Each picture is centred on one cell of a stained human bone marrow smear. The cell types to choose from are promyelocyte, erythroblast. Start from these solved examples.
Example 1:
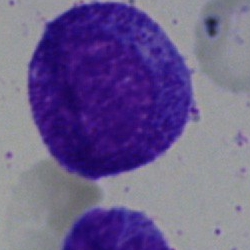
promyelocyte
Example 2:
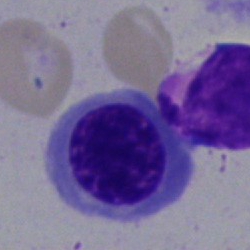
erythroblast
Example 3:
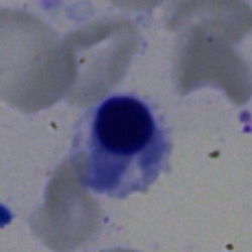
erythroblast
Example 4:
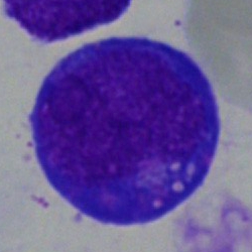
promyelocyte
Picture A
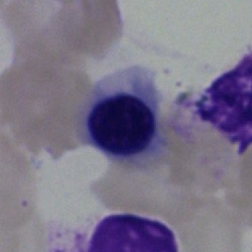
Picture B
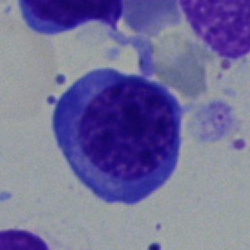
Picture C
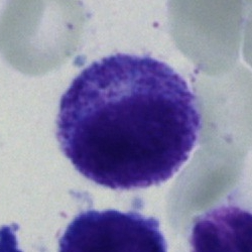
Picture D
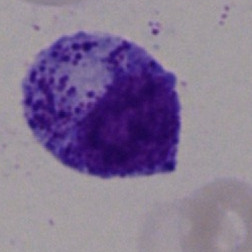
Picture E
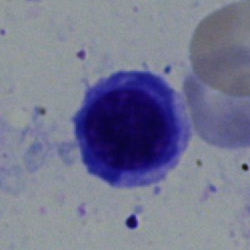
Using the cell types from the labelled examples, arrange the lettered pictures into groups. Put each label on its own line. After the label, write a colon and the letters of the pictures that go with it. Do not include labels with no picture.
promyelocyte: C, D
erythroblast: A, B, E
